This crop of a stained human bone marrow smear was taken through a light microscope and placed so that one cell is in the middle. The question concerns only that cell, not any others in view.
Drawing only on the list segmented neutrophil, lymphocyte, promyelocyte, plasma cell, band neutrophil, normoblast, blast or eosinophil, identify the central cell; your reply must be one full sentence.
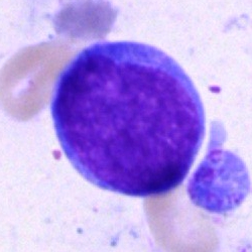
The cell of interest, in the center, is a blast.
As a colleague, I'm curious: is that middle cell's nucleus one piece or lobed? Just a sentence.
Its nucleus is compact and single, with a round, oval or kidney-shaped form.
